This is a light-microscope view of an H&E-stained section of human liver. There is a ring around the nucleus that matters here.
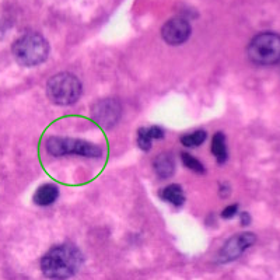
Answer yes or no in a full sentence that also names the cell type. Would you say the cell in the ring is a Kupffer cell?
Yes, in this section the cell in the ring is a Kupffer cell.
